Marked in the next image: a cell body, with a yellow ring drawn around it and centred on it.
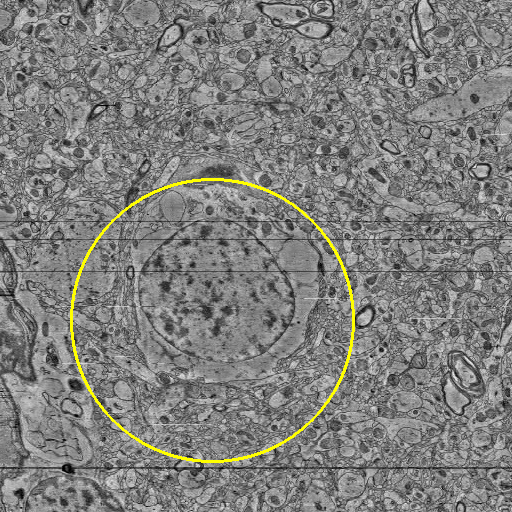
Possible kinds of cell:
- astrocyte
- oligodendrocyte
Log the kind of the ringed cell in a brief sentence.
The ringed cell body is that of an astrocyte.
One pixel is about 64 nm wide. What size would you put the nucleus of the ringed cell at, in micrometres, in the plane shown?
In this plane the nucleus measures roughly 10 micrometres across.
